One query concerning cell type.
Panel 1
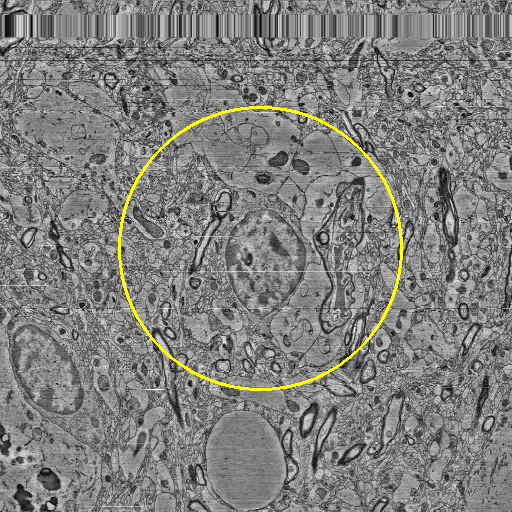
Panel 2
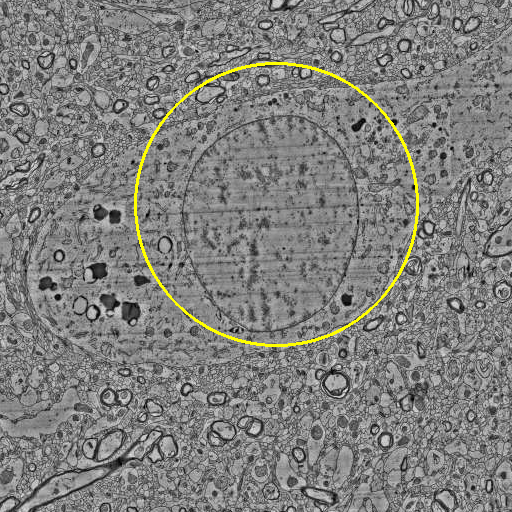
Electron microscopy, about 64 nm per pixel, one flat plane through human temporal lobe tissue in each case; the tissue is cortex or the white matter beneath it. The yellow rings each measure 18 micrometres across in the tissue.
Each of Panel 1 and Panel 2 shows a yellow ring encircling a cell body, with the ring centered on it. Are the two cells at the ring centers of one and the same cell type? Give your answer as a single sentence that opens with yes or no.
No, the cell centered in Panel 1 and the one in Panel 2 are of two types.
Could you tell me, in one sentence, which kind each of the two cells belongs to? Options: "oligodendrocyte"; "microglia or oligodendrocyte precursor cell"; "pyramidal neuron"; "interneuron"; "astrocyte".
At the centre of the first ring sits an oligodendrocyte, and at the centre of the second sits a pyramidal neuron.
